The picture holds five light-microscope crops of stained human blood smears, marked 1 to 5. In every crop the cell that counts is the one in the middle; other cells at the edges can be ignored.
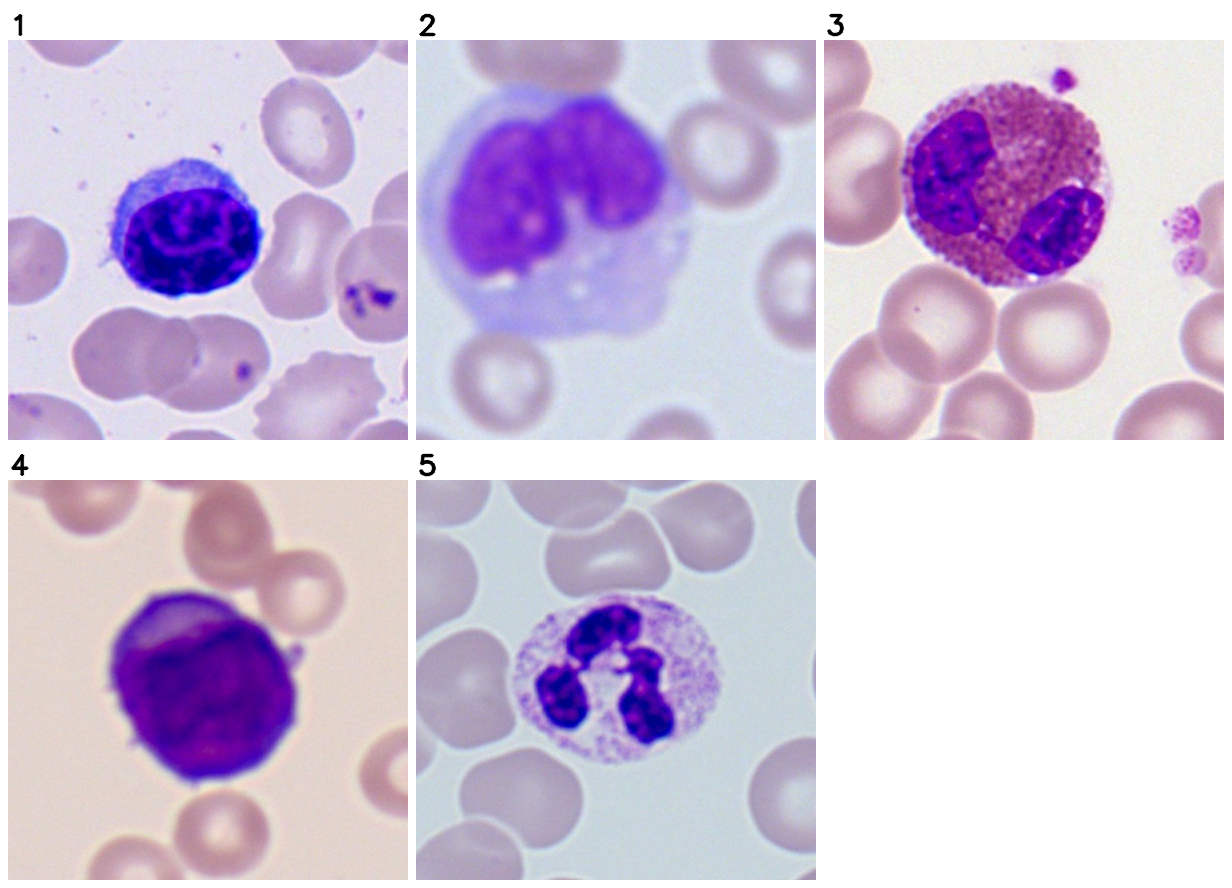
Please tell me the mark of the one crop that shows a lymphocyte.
1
